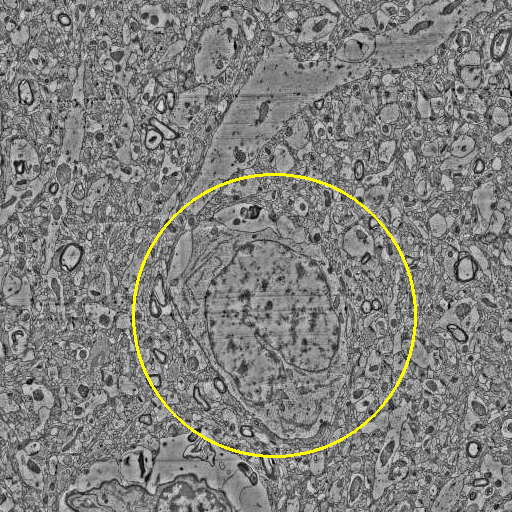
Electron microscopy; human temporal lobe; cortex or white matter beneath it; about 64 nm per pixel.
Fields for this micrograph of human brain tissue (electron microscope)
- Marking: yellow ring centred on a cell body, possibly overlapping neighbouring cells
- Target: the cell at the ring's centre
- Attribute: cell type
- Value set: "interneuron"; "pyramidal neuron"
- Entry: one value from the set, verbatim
interneuron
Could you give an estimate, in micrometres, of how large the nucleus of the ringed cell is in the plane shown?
Approximately 9 micrometers across in this plane.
